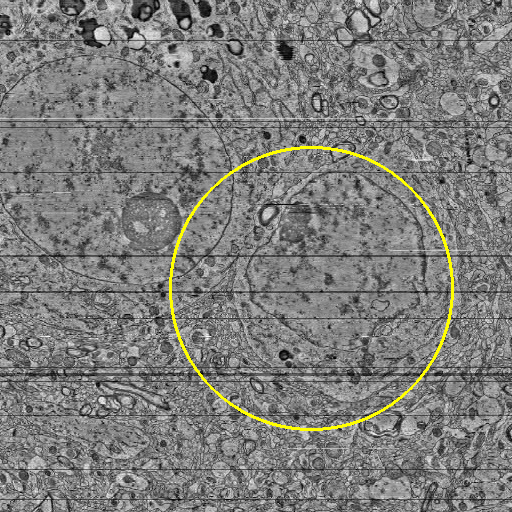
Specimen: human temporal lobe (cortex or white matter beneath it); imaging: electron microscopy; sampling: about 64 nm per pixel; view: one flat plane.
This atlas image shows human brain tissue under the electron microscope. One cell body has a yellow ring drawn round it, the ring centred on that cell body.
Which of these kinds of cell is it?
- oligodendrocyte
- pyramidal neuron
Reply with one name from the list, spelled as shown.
pyramidal neuron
